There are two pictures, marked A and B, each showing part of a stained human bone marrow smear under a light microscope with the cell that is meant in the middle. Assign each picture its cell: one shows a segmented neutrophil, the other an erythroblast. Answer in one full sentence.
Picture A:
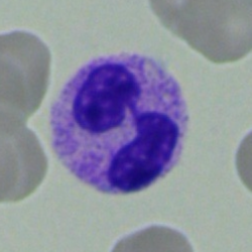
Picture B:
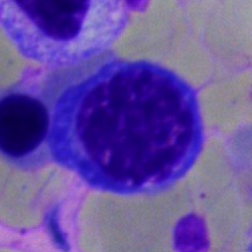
The cell in picture A is a segmented neutrophil, and the one in picture B is an erythroblast.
